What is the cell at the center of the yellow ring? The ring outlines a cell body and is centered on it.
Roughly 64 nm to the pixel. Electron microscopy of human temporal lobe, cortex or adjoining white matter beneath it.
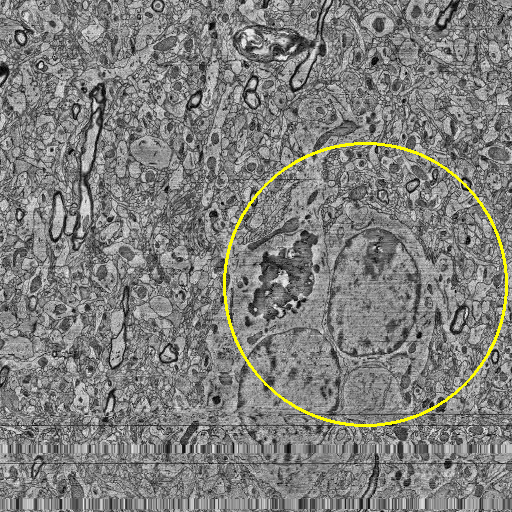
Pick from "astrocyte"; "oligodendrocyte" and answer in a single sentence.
The yellow ring is centered on an astrocyte.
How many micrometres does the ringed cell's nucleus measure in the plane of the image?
Roughly 9 micrometres by 6 micrometres, in this plane.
